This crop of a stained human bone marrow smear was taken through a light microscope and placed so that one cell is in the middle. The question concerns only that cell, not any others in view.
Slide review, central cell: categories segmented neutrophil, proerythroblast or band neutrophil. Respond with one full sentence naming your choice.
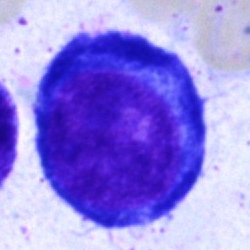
Framed in the middle of the crop is a proerythroblast.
